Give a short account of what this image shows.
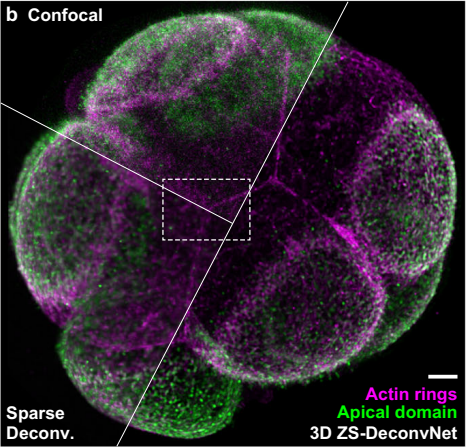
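An early embryo made of several large, rounded blastomeres packed into a sphere. Magenta signal outlines the borders between neighbouring cells and forms thin lines and rings across the cell surfaces. Green signal appears as many small puncta spread over the outer surfaces of the blastomeres, denser on some cells than others, especially toward the lower part of the embryo. The signals look diffuse and grainy in the upper left sector and resolve into sharper, finer dots and lines on the right.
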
